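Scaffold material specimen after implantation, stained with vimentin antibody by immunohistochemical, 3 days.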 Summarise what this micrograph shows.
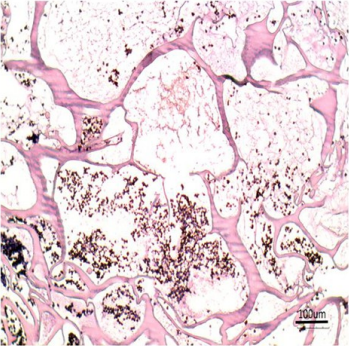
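Within several pores lie many small dark brown dots, gathered into loose clusters, especially in the centre and lower left of the field. The dots are single small cells or cell fragments, too small here to show nuclear detail. Other pores contain only a faint pale pink meshwork with few dots.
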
